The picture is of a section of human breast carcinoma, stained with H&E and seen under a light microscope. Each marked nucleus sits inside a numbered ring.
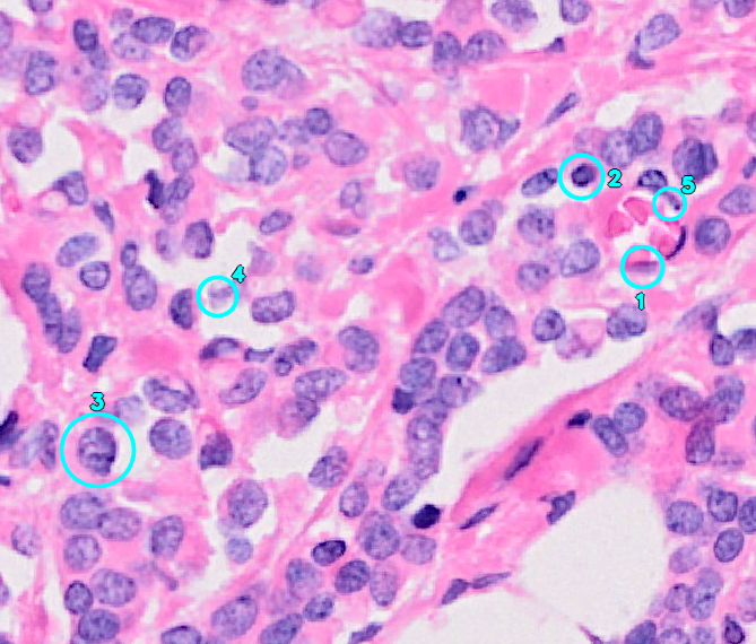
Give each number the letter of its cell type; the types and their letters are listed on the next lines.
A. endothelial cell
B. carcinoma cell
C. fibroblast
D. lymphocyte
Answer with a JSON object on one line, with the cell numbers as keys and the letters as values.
{"1": "A", "2": "D", "3": "B", "4": "B", "5": "A"}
